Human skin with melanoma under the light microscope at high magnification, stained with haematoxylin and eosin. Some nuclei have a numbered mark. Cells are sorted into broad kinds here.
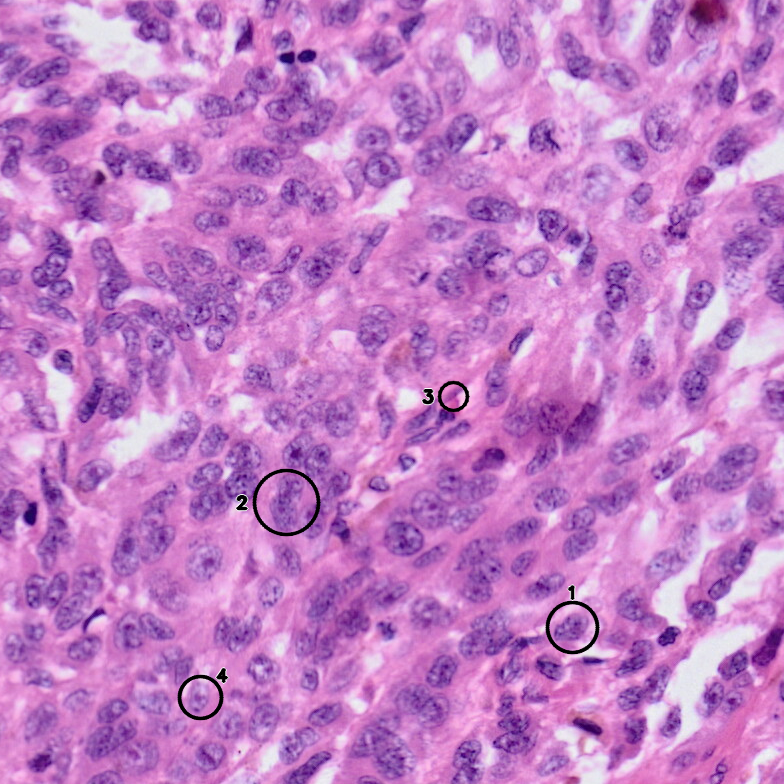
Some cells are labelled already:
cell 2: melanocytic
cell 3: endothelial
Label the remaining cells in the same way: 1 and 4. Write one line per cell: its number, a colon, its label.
1: melanocytic
4: melanocytic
